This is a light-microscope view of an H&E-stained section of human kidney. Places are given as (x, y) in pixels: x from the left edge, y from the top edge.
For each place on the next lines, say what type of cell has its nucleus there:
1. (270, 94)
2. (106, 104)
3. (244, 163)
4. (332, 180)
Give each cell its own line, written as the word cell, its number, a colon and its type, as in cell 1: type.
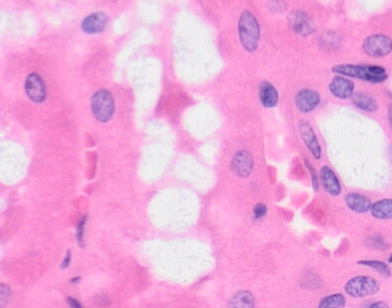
cell 1: endothelial cell
cell 2: proximal tubule cell
cell 3: proximal tubule cell
cell 4: collecting duct cell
